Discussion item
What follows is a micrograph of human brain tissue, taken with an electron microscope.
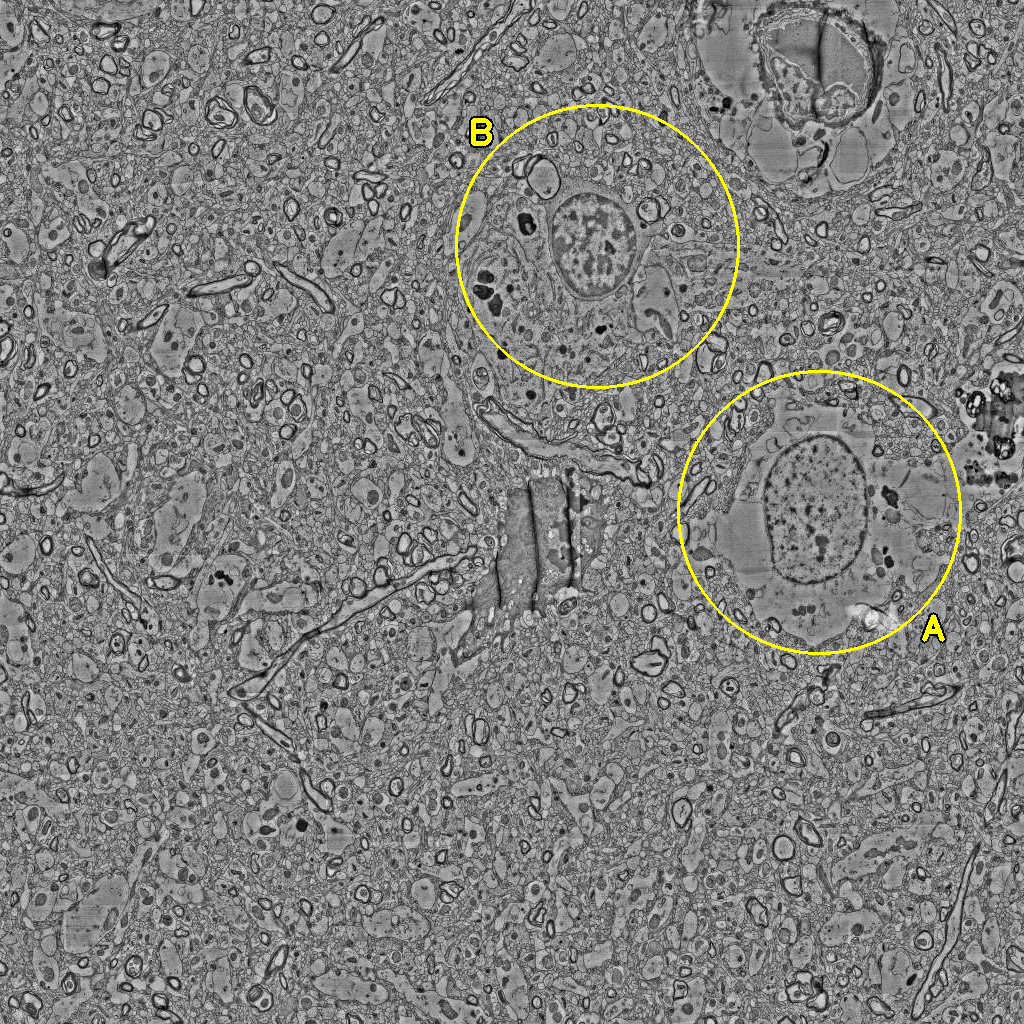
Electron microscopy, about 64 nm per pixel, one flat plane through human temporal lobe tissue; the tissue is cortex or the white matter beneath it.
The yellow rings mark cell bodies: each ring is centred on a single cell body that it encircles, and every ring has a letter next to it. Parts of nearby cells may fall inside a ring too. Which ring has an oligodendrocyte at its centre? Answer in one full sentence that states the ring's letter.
Ring B is the ring whose centre falls on the cell the question asks about.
